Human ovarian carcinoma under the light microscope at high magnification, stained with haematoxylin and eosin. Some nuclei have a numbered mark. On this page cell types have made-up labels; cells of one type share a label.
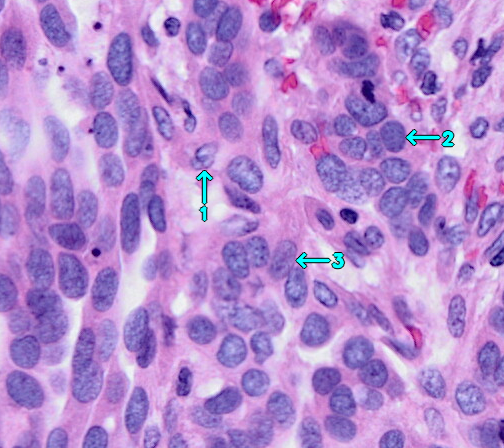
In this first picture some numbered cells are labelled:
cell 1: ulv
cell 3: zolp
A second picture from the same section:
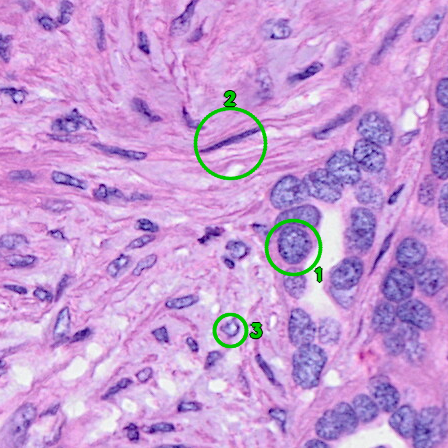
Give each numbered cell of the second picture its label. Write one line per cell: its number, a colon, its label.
1: zolp
2: ulv
3: ulv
